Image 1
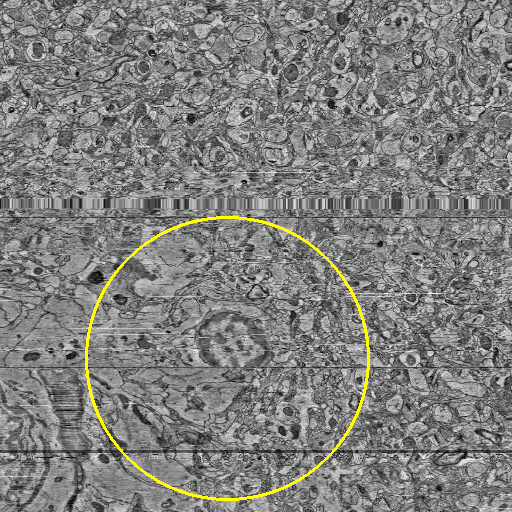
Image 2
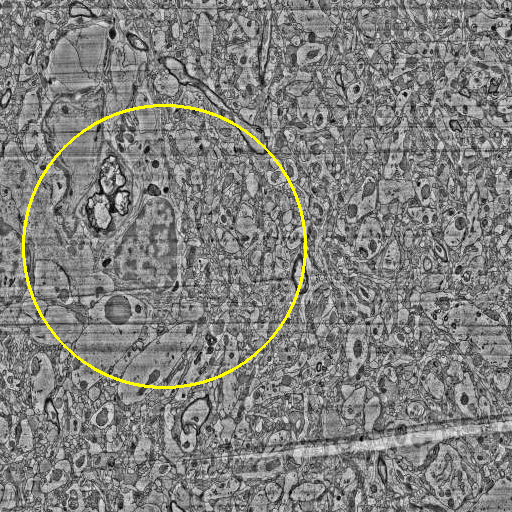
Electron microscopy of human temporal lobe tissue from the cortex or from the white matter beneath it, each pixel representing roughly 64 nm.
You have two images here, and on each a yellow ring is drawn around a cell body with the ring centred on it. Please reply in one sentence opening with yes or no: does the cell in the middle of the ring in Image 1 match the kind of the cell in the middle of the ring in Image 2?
No, the two images show cells of two kinds at the centres of their rings.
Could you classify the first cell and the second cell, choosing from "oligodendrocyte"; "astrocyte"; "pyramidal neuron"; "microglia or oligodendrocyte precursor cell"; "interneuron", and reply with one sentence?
The second cell is a microglial cell or oligodendrocyte precursor cell, while the first is an oligodendrocyte.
